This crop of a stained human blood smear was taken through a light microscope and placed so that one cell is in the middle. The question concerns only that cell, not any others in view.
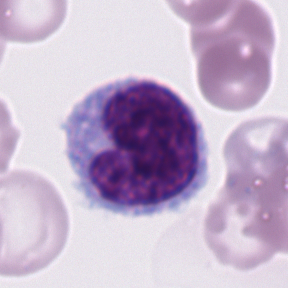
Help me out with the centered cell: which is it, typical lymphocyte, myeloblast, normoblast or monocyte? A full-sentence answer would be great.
The identification for the central cell is a monocyte.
